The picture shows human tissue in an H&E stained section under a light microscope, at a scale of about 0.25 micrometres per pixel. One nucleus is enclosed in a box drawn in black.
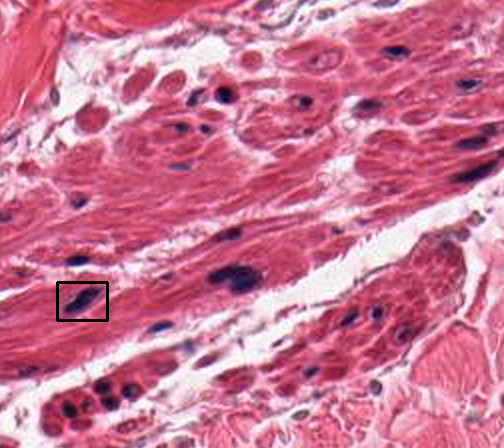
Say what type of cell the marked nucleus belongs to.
smooth muscle cell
